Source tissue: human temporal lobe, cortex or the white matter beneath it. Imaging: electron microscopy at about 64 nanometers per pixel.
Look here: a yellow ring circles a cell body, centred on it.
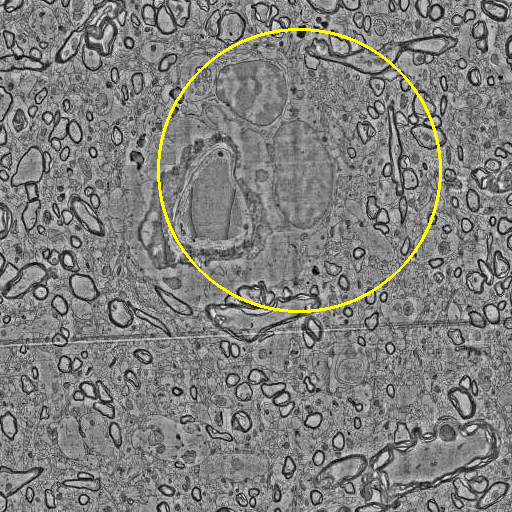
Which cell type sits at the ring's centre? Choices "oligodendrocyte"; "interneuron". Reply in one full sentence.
The cell at the centre of the yellow ring in the picture is an oligodendrocyte.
